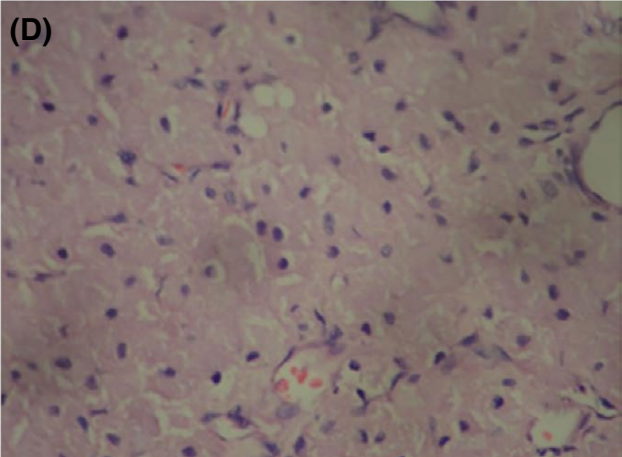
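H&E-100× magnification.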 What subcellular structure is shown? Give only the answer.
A: Abundant eosinophilic cytoplasm.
